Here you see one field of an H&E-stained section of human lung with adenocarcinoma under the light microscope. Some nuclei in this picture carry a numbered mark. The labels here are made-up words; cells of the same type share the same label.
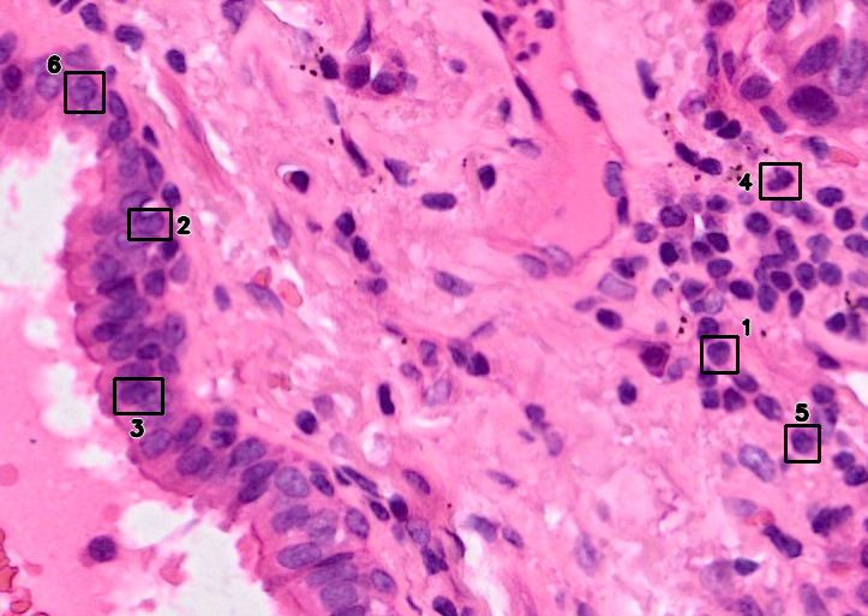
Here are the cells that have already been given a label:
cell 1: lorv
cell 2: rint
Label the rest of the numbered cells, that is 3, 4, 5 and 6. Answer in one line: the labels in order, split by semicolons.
rint; lorv; lorv; rint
